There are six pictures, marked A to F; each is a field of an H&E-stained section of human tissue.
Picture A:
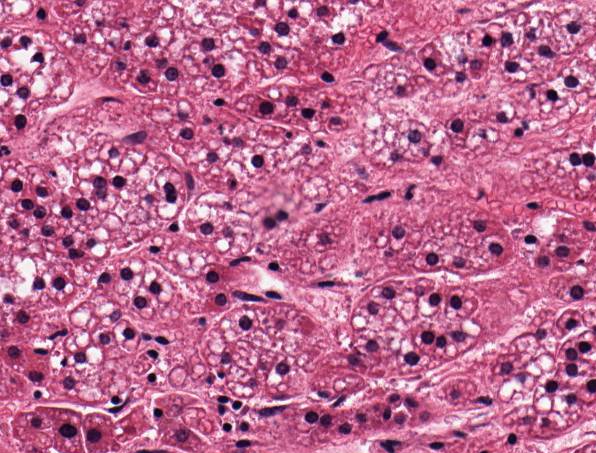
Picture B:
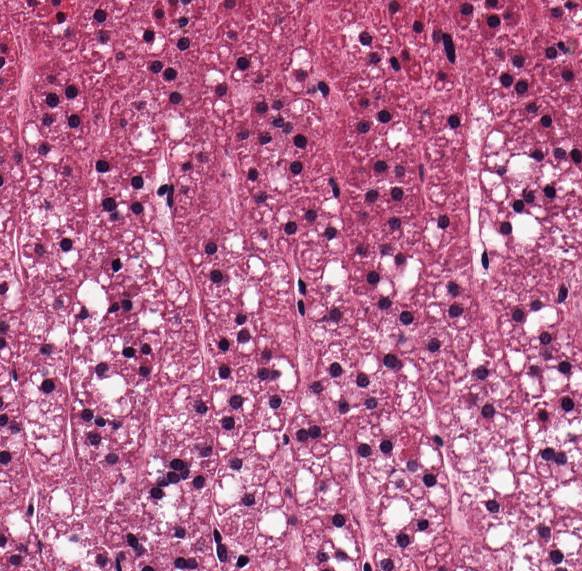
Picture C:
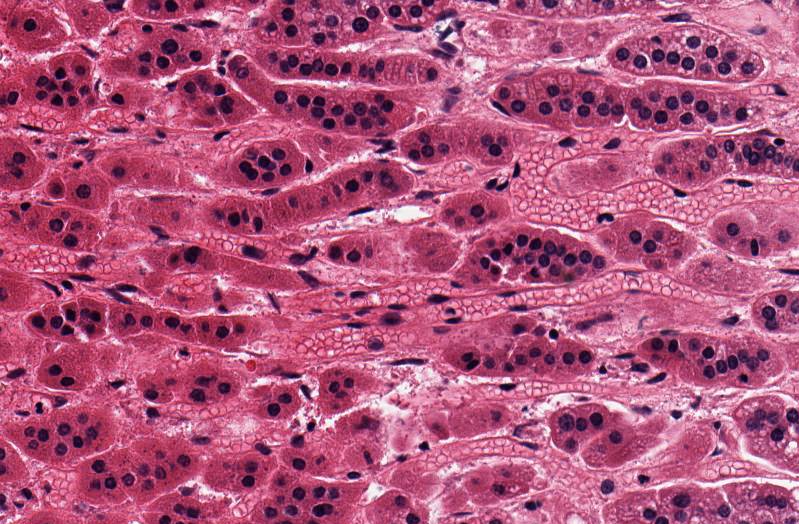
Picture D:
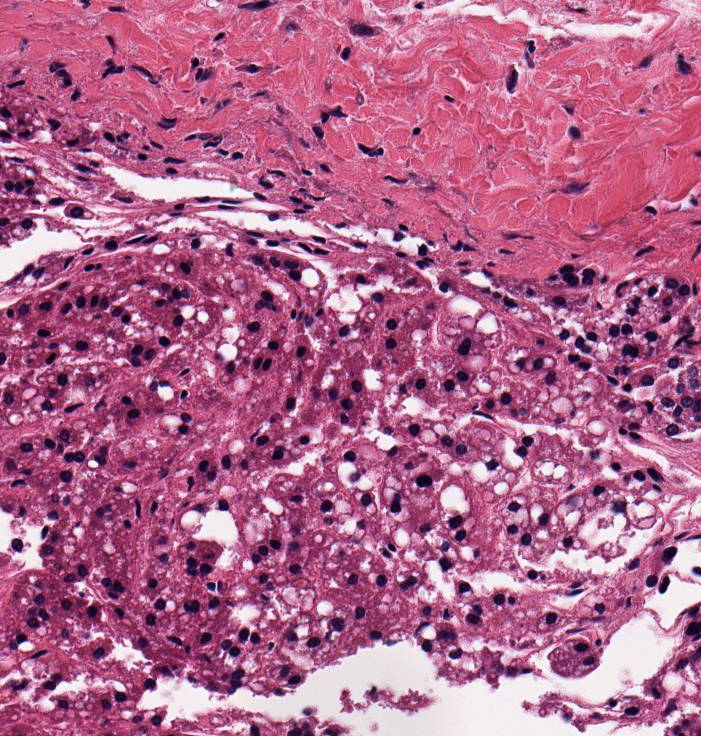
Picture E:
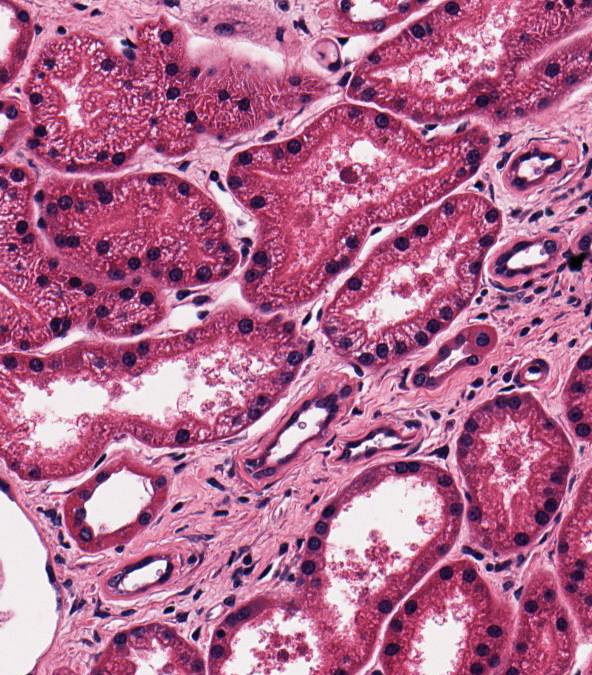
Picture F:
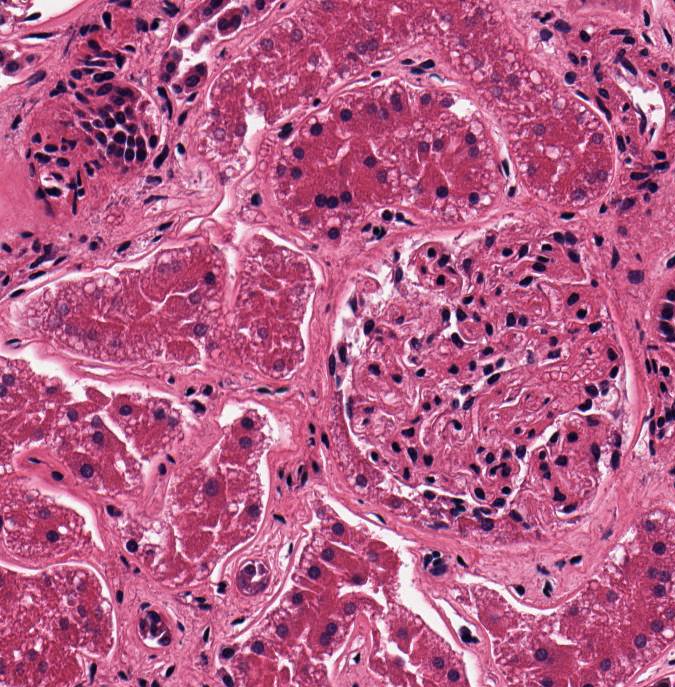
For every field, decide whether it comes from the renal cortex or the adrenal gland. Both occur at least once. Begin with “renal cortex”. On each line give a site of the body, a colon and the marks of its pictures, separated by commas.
renal cortex: E, F
adrenal gland: A, B, C, D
